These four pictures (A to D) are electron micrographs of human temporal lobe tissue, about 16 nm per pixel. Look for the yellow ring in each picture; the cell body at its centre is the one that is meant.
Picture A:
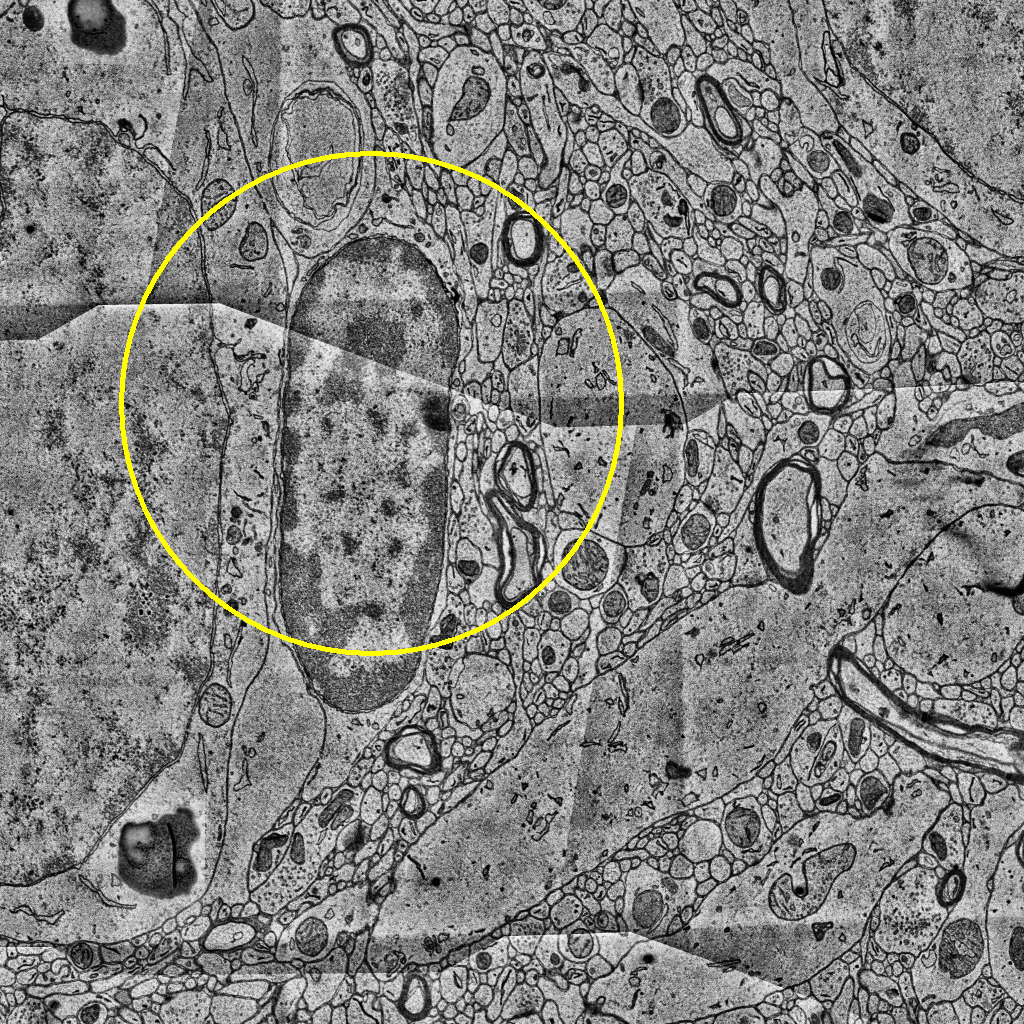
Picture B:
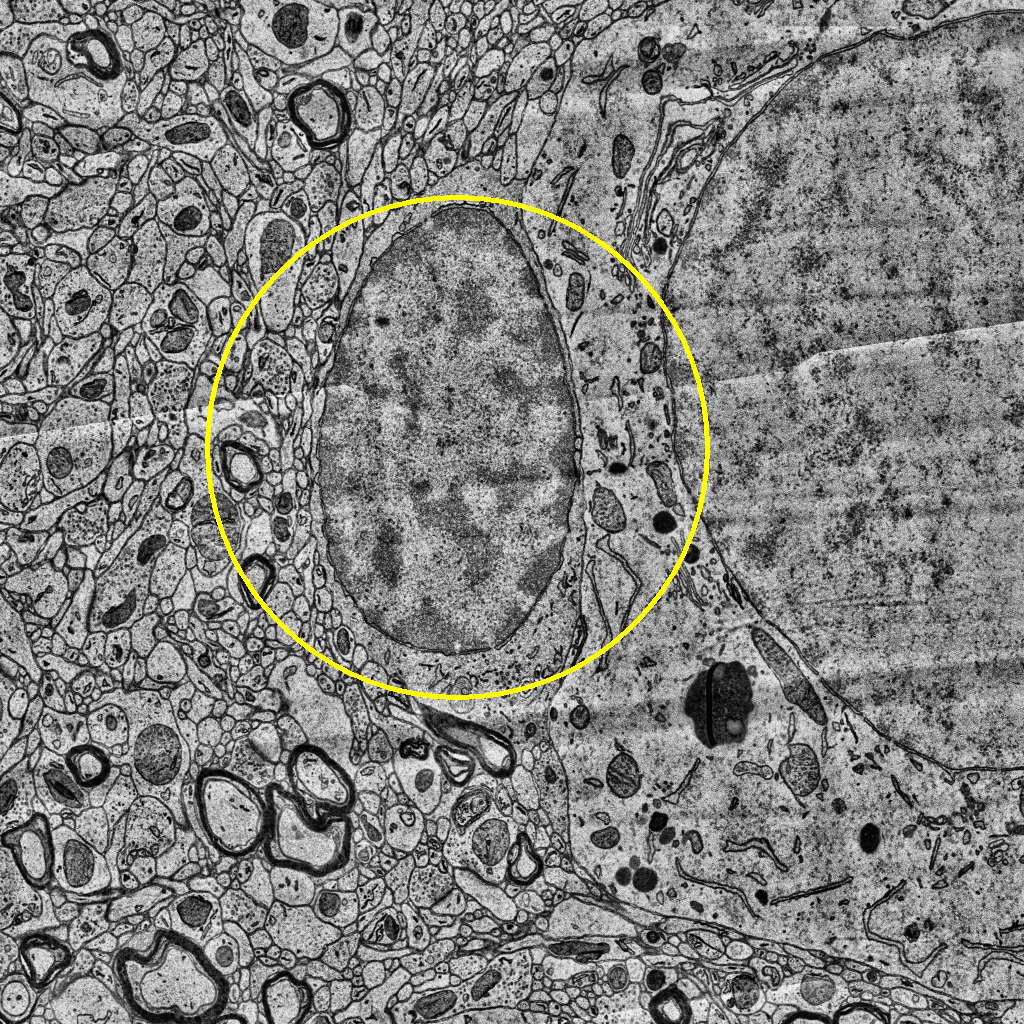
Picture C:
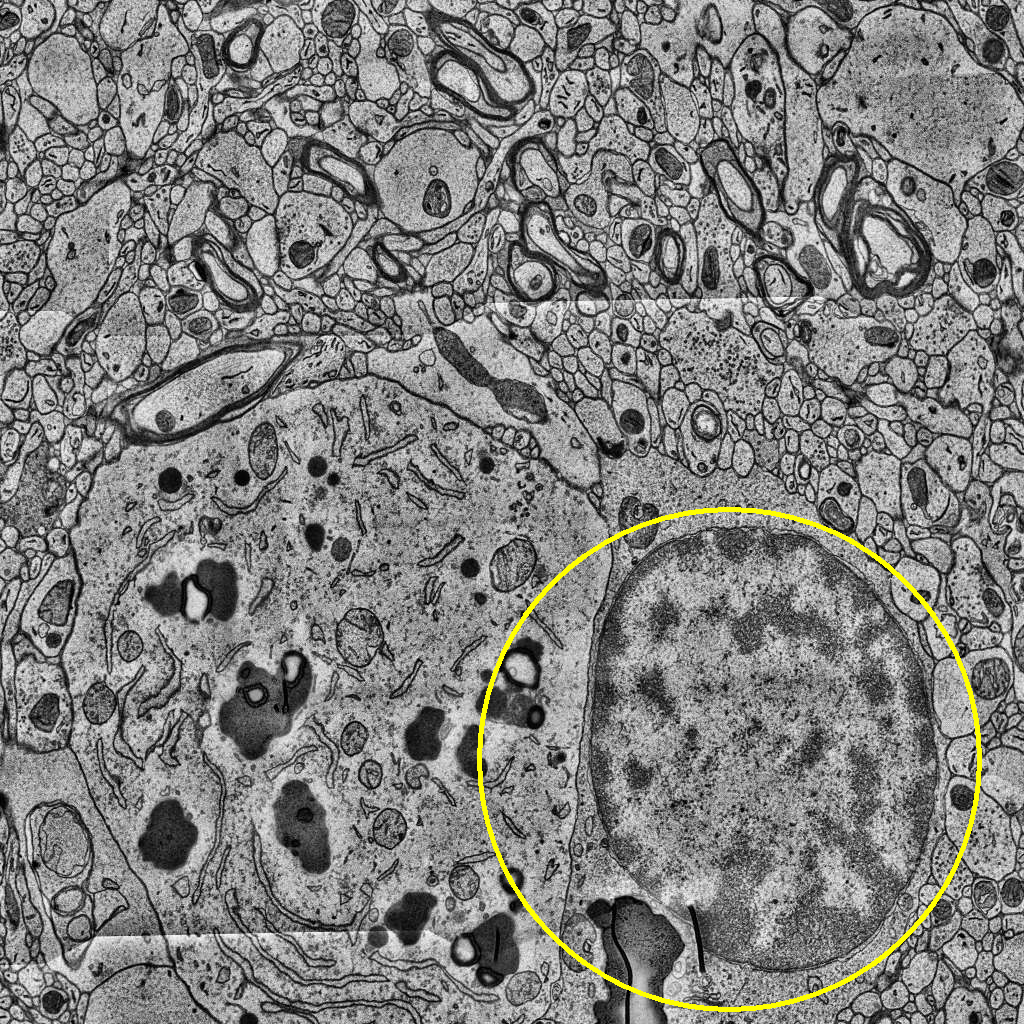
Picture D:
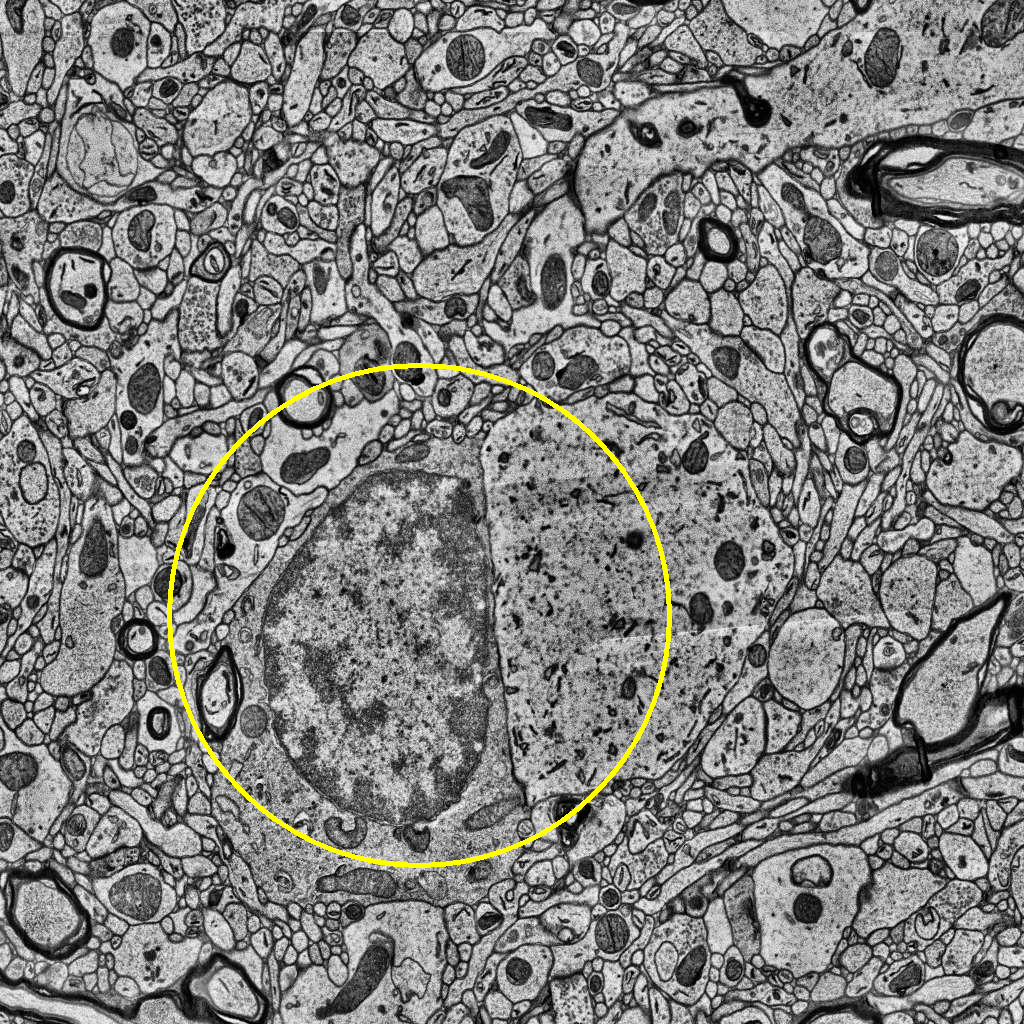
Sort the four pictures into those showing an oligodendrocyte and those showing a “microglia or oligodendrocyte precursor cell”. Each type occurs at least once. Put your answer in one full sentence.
Pictures B, C and D show oligodendrocytes, and picture A shows a “microglia or oligodendrocyte precursor cell”.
